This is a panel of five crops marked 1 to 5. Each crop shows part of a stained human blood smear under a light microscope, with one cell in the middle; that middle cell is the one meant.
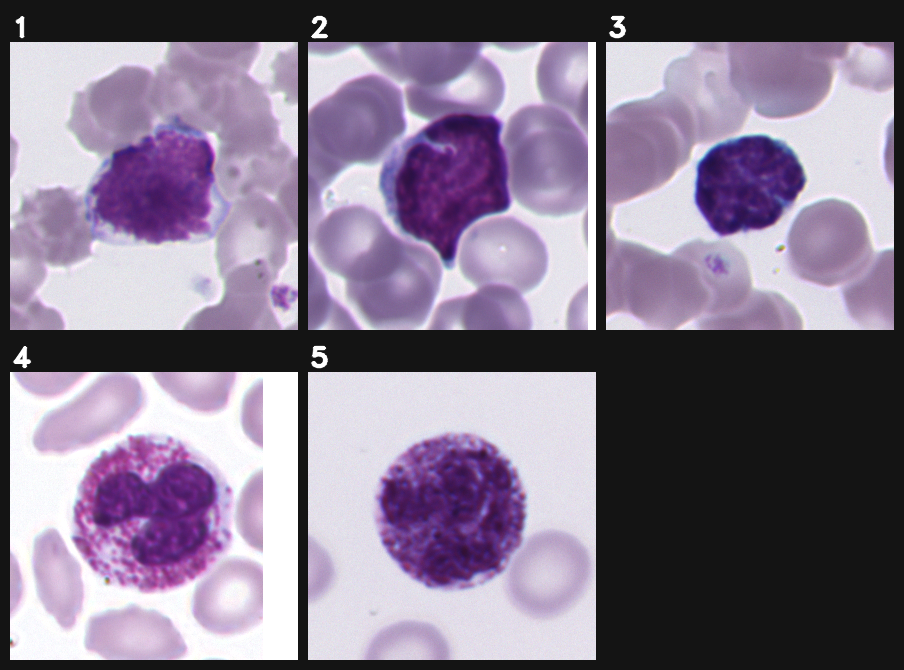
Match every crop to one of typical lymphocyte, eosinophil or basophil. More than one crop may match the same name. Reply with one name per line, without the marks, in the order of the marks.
typical lymphocyte
typical lymphocyte
typical lymphocyte
eosinophil
basophil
